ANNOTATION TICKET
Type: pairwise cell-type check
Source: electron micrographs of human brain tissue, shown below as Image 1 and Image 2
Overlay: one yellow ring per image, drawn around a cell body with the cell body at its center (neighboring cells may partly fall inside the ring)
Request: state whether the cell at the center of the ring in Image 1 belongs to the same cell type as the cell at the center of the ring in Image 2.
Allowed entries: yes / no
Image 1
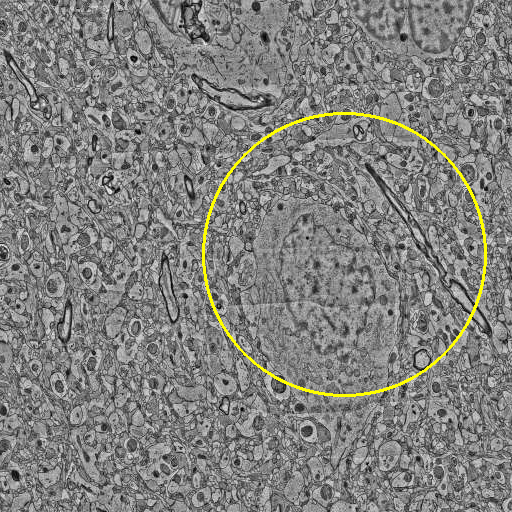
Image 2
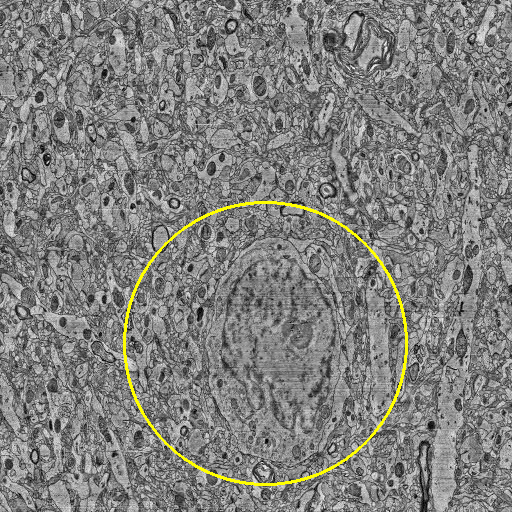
yes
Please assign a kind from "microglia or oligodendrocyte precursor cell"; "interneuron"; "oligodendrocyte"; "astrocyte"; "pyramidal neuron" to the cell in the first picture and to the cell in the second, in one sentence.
Each of the two rings is centred on an interneuron.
